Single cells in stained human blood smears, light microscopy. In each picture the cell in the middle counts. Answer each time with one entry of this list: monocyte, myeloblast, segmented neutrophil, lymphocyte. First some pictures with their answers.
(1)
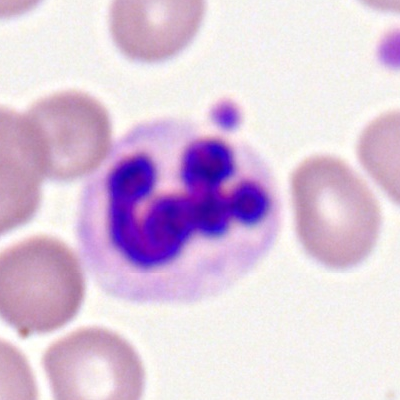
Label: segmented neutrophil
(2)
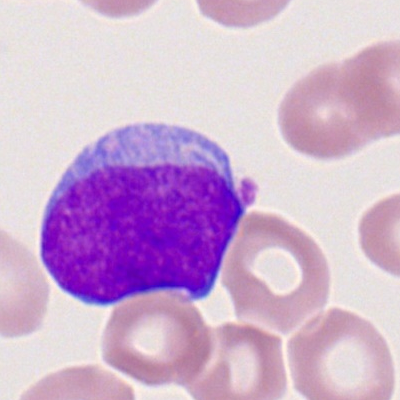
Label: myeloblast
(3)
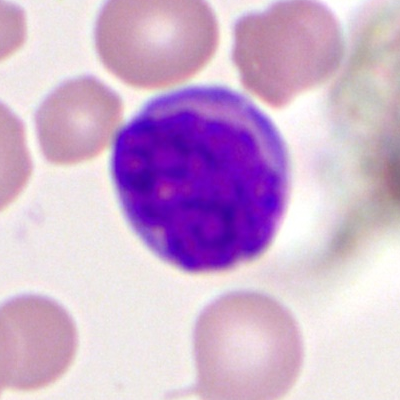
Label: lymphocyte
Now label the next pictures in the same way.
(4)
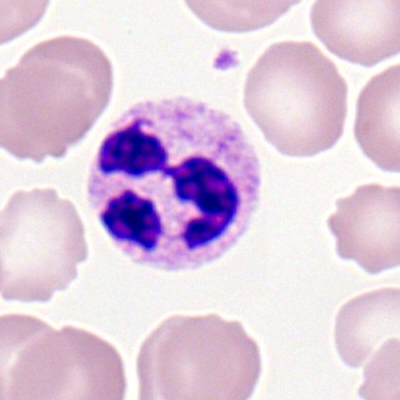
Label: segmented neutrophil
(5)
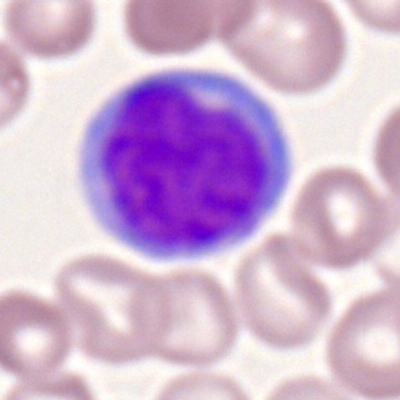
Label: monocyte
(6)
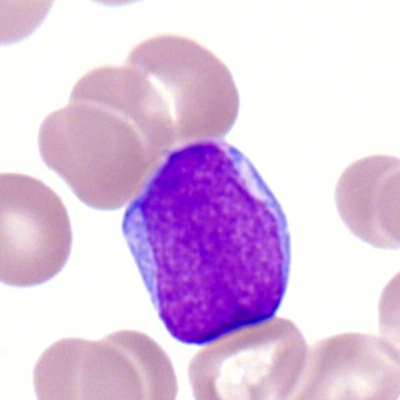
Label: myeloblast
